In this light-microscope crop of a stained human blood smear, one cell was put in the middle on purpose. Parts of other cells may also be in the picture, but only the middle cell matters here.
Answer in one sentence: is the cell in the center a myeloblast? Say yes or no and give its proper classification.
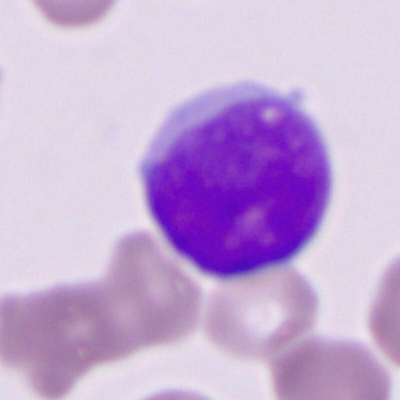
Yes, the middle cell here is a myeloblast.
